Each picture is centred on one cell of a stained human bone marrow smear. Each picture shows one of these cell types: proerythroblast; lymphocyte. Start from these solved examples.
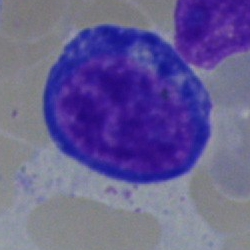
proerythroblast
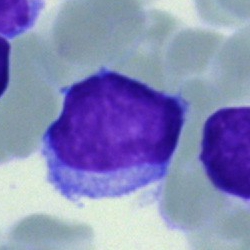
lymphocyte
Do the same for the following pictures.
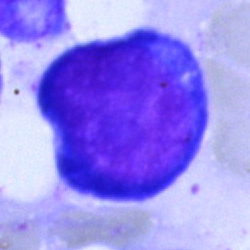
proerythroblast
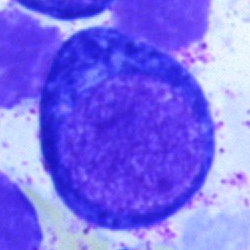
proerythroblast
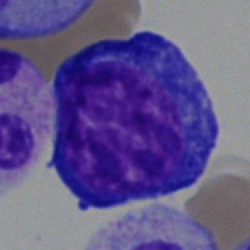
proerythroblast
